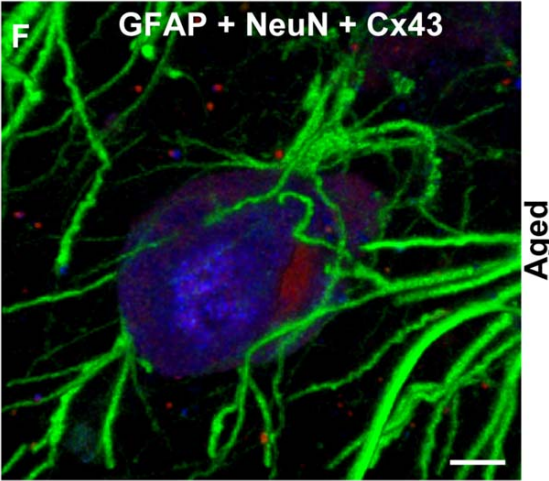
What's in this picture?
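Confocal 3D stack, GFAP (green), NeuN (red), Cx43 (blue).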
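A large, rounded neuronal cell body lies at the centre, its body stained blue with a red region on one side. Thicker green process bundles run diagonally through the lower right, and small red and blue dots are scattered in the surrounding tissue.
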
